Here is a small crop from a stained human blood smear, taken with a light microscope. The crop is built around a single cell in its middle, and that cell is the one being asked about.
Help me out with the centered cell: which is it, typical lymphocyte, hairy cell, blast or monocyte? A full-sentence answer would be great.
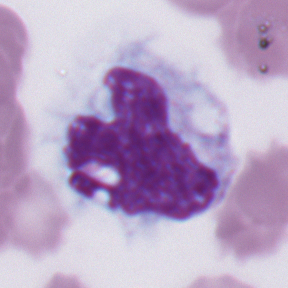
On this slide crop, the central cell is a monocyte.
